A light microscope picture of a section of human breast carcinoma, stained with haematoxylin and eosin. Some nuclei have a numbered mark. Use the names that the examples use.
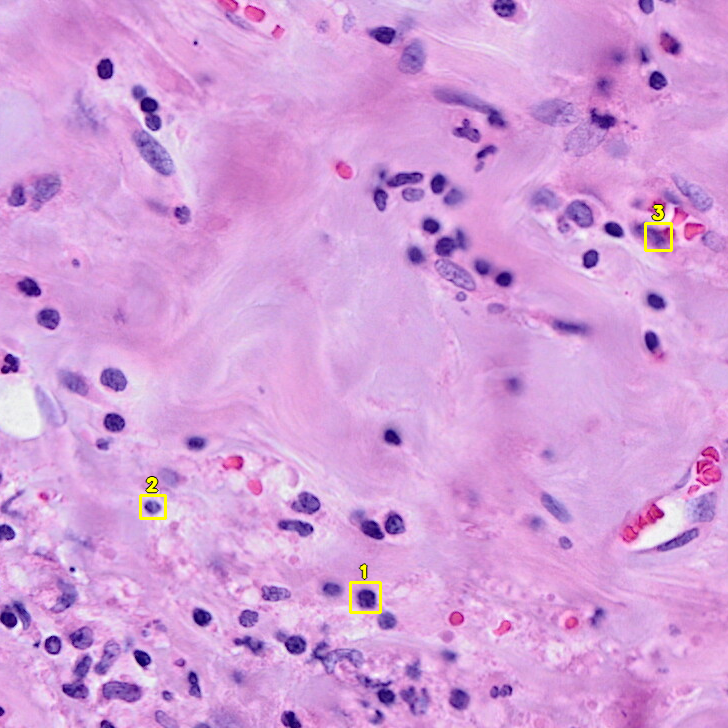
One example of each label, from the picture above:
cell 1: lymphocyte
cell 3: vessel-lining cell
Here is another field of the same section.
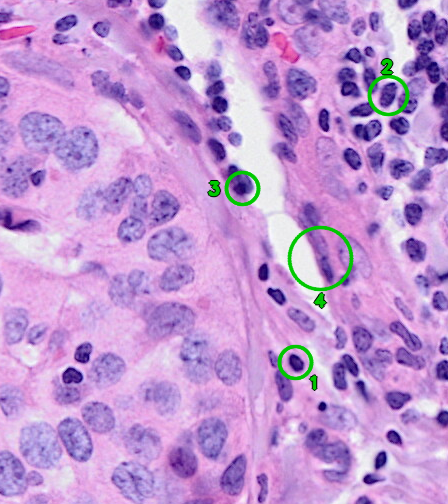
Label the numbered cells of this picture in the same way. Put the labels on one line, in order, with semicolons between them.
lymphocyte; lymphocyte; lymphocyte; vessel-lining cell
